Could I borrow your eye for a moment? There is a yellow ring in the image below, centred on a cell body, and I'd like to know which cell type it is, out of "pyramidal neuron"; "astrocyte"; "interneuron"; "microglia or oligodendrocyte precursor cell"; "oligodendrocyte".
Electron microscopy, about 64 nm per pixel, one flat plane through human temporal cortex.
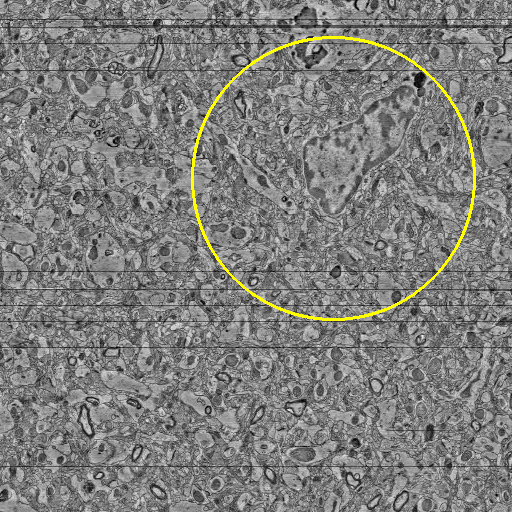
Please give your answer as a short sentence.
The cell body at the centre is that of a microglial cell or oligodendrocyte precursor cell.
